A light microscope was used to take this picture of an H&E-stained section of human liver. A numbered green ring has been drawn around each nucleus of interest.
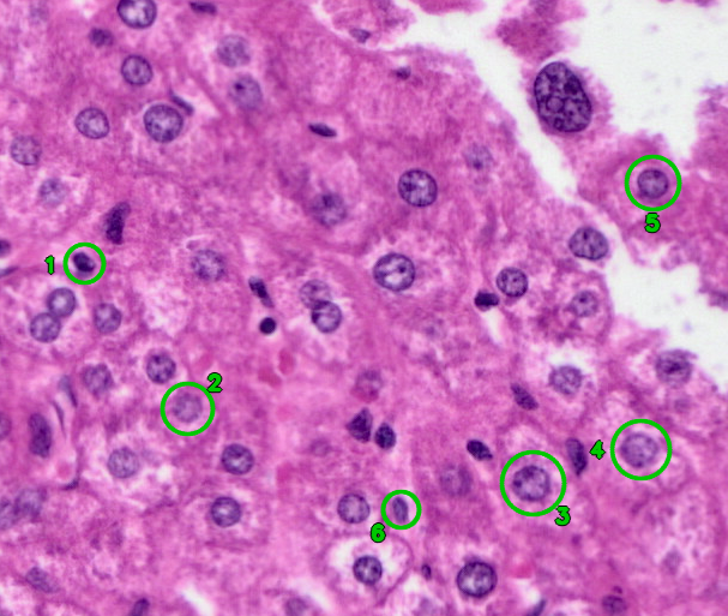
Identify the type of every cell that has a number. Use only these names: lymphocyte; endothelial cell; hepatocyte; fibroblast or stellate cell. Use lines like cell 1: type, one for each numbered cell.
cell 1: lymphocyte
cell 2: hepatocyte
cell 3: hepatocyte
cell 4: hepatocyte
cell 5: hepatocyte
cell 6: lymphocyte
